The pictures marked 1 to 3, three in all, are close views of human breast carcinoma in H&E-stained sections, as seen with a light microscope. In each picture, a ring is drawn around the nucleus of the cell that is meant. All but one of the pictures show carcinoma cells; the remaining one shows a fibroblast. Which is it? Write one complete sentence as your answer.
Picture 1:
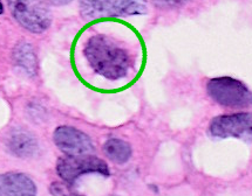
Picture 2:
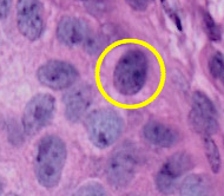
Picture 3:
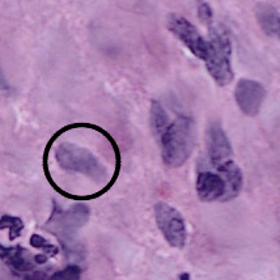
The picture with the fibroblast is 3.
